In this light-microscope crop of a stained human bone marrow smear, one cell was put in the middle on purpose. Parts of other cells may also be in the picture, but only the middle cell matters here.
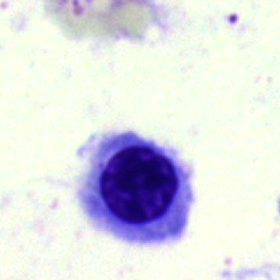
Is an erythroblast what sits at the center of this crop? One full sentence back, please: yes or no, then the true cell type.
Yes, an erythroblast is the cell positioned in the middle of the field.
